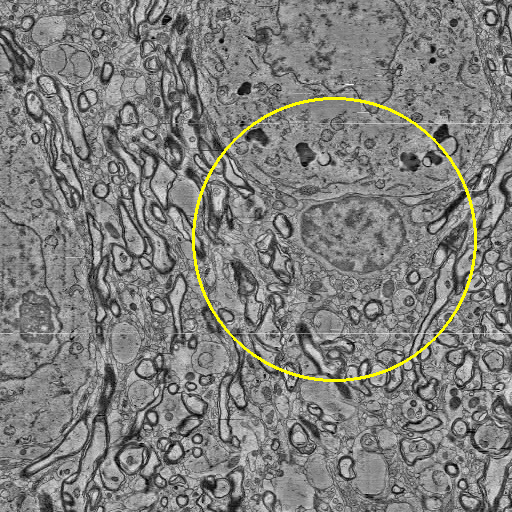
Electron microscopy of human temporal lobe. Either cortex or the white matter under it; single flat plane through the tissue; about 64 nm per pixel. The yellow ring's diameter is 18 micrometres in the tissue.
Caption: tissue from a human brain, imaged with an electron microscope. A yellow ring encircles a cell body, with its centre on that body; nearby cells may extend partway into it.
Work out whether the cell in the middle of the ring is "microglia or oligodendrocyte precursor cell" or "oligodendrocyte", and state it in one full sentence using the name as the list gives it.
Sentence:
In the picture, the cell that the yellow ring surrounds at its centre is an oligodendrocyte.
